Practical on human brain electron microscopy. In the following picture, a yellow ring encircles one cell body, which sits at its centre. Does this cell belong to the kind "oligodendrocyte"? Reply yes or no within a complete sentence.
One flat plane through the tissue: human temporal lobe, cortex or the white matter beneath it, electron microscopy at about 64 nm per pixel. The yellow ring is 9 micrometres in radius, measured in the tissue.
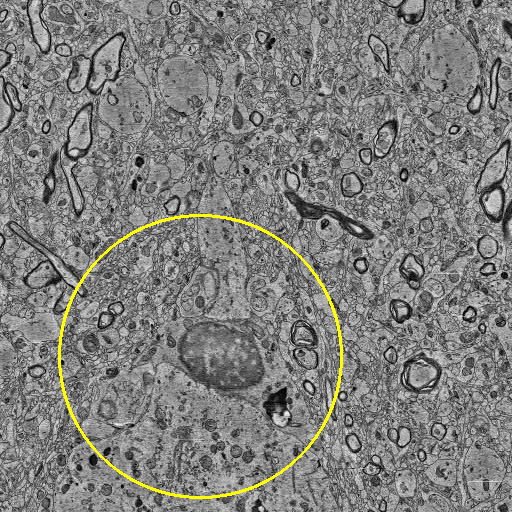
Yes, the one cell at the centre of the ring here is of that kind.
